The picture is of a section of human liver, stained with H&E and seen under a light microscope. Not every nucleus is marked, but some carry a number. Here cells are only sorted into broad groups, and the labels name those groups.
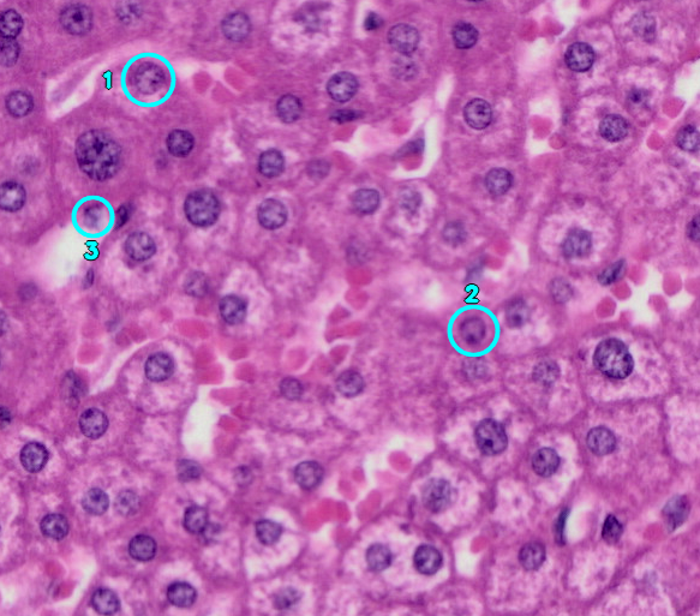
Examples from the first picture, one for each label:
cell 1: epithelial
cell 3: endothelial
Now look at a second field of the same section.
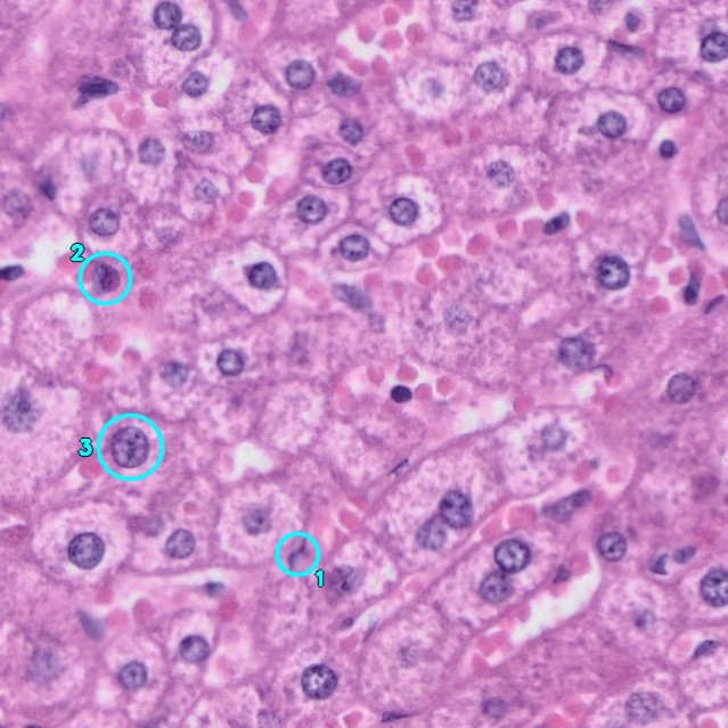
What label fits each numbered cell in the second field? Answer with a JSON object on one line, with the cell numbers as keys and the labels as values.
{"1": "endothelial", "2": "endothelial", "3": "epithelial"}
